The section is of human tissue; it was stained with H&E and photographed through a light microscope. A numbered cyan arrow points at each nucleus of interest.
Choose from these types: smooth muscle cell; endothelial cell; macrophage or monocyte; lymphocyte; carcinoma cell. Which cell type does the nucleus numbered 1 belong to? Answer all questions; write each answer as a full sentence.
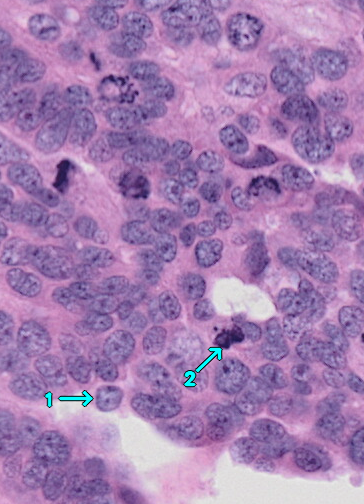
The nucleus labelled 1 belongs to a macrophage or monocyte.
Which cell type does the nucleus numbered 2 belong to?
Among the marked cells, number 2 is a carcinoma cell.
